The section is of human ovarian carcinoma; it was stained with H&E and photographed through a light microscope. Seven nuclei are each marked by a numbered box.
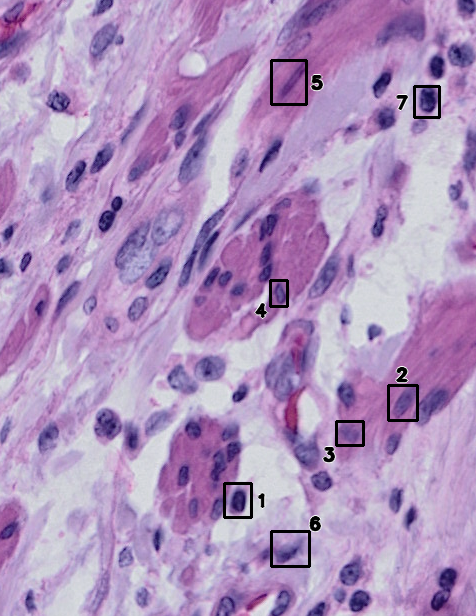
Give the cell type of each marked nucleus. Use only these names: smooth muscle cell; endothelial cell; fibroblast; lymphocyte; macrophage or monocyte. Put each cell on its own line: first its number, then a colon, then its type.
1: lymphocyte
2: smooth muscle cell
3: smooth muscle cell
4: smooth muscle cell
5: smooth muscle cell
6: fibroblast
7: lymphocyte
